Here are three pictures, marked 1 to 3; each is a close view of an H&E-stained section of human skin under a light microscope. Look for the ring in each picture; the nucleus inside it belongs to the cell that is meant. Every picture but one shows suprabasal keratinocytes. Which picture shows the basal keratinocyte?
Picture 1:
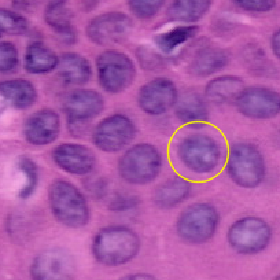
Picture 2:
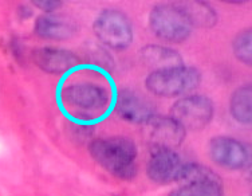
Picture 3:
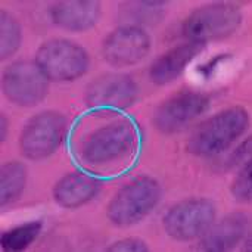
2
